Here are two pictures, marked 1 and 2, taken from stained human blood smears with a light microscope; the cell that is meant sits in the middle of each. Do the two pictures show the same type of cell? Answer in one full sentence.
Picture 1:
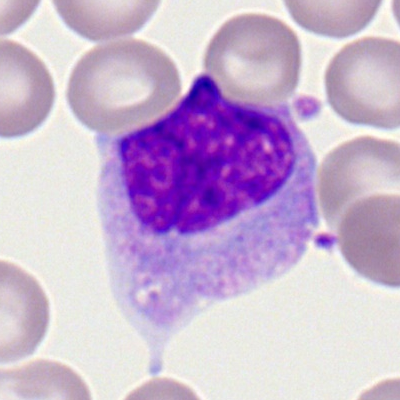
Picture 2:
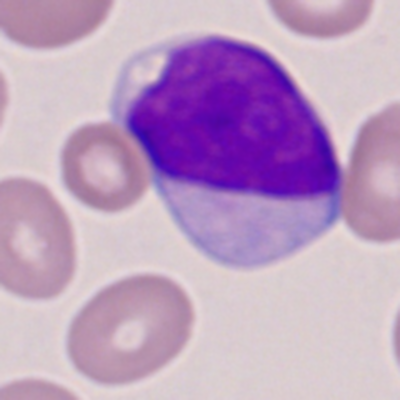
No, they differ: the cell is a monocyte in picture 1 and a myeloblast in picture 2.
